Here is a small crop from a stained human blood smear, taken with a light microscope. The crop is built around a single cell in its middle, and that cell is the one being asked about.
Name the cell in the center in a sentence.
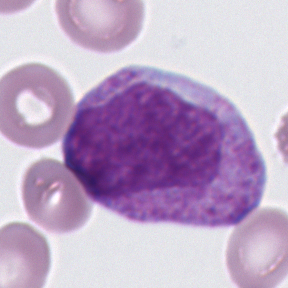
The cell of interest, in the center, is an atypical promyelocyte.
